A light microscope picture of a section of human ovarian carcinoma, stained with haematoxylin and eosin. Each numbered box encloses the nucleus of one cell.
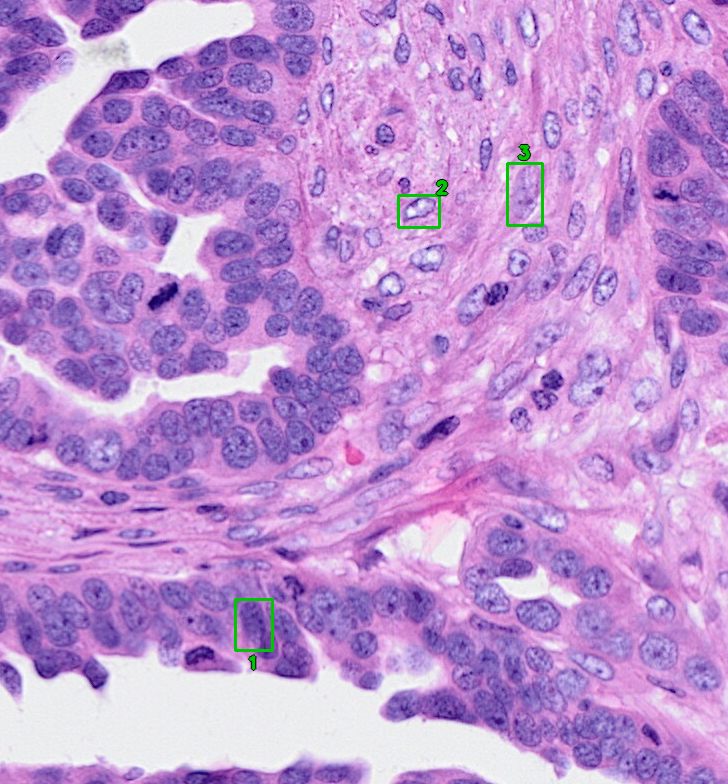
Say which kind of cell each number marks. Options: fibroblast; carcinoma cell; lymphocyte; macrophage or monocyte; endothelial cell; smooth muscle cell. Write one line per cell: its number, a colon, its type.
1: carcinoma cell
2: fibroblast
3: fibroblast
